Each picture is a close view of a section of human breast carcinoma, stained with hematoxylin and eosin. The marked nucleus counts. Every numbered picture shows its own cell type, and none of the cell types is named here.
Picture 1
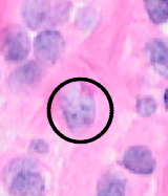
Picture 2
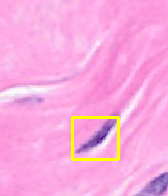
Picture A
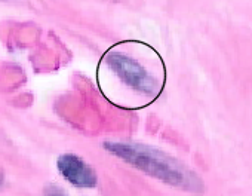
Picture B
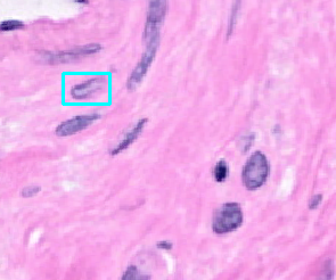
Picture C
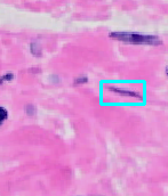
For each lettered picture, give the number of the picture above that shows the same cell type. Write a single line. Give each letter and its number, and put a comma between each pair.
A 1, B 1, C 2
